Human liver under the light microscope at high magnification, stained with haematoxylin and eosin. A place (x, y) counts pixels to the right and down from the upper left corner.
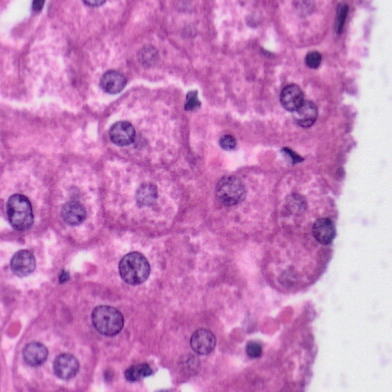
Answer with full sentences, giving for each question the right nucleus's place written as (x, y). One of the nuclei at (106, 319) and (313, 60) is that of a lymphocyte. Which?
The nucleus located at (313, 60) is the one held within a lymphocyte.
